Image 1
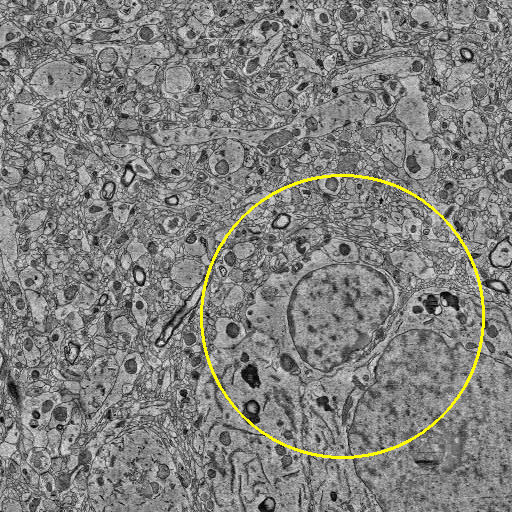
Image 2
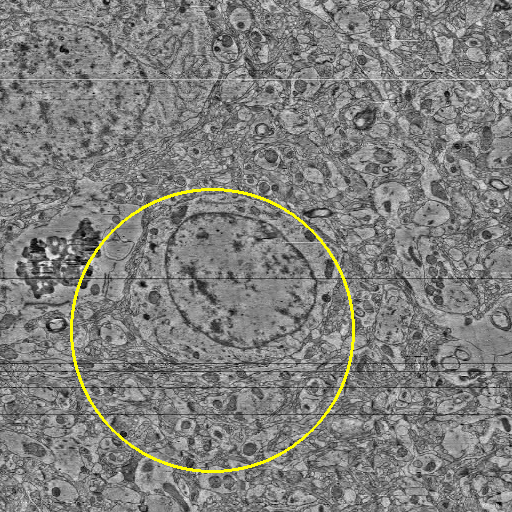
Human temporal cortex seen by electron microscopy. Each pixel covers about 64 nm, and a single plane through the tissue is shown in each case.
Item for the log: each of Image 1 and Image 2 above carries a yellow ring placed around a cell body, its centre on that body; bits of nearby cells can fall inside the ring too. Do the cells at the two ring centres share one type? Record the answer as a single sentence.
No, the two cells at the ring centres in Image 1 and Image 2 are of two types.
